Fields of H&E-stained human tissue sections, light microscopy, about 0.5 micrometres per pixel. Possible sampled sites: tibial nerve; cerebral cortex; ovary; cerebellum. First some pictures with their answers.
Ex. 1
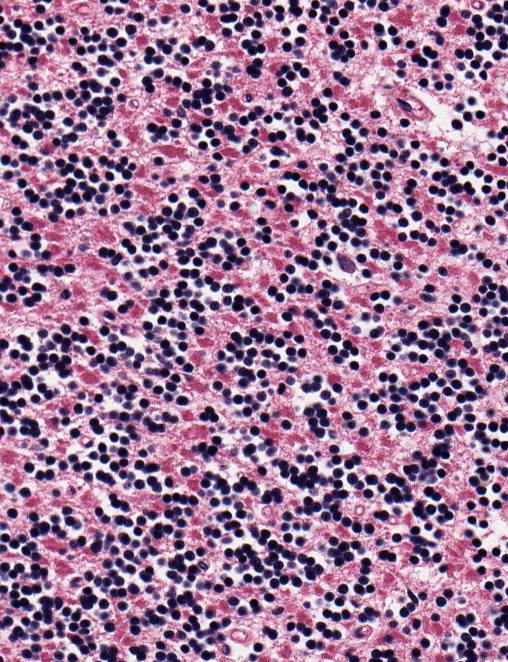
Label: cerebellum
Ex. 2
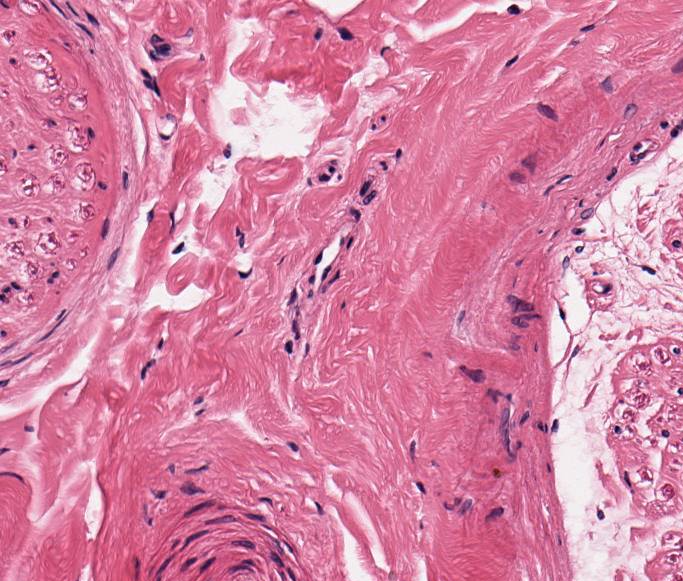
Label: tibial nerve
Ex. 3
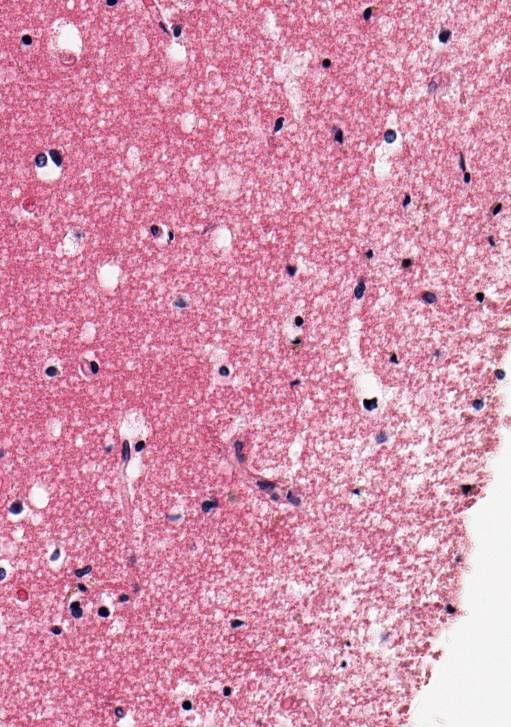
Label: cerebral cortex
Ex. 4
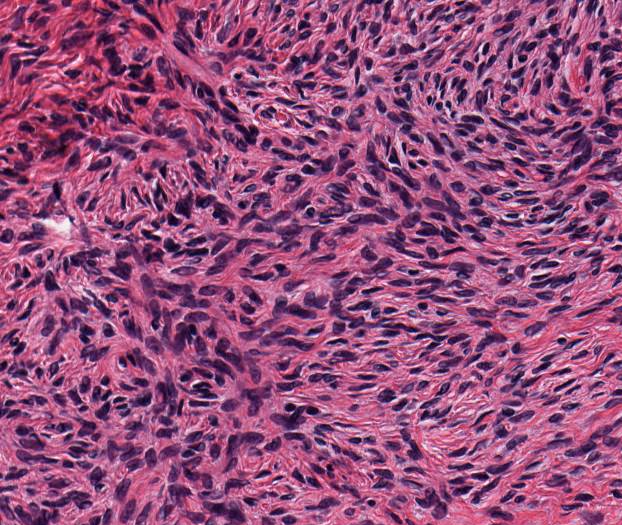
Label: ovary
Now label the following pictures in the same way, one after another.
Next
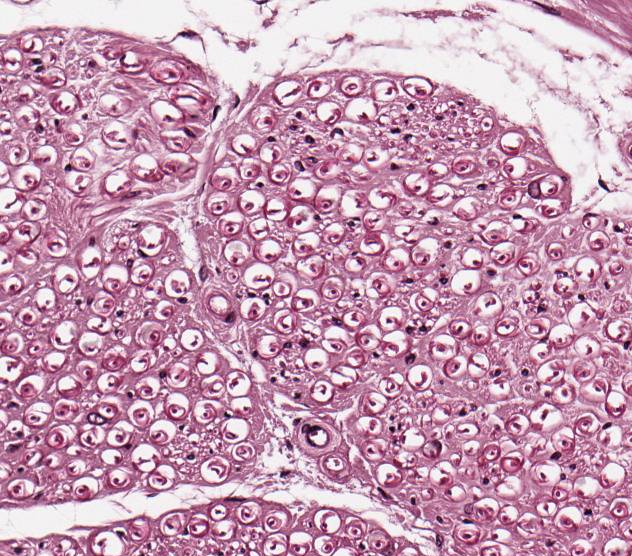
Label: tibial nerve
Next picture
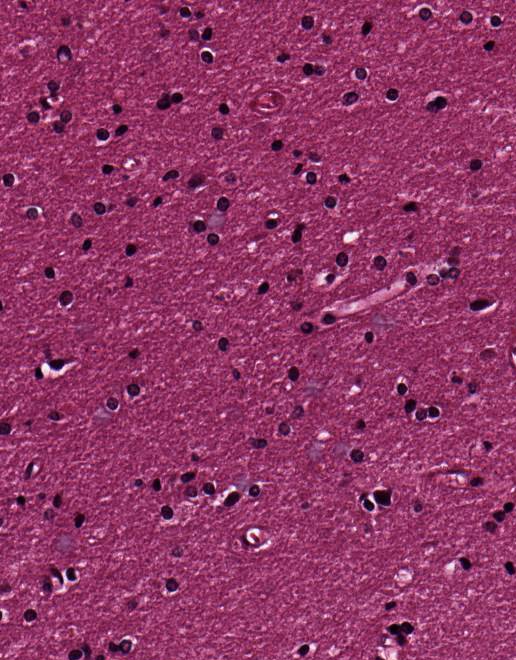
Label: cerebral cortex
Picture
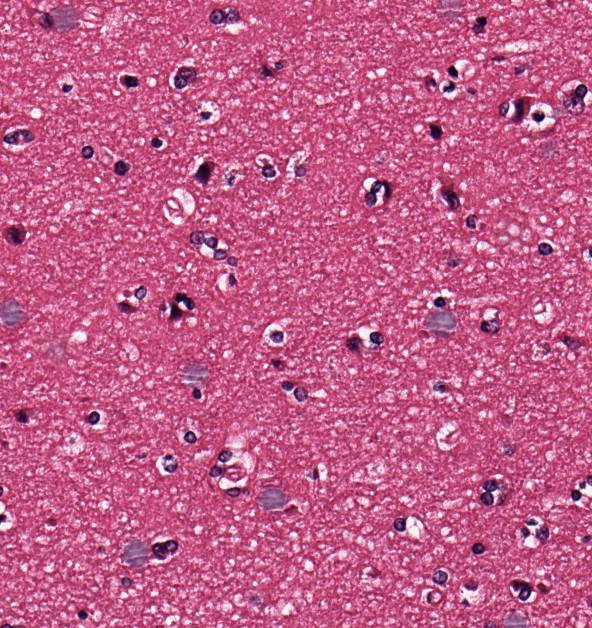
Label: cerebral cortex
